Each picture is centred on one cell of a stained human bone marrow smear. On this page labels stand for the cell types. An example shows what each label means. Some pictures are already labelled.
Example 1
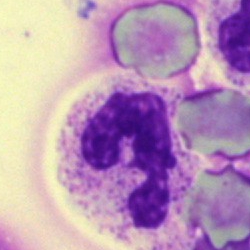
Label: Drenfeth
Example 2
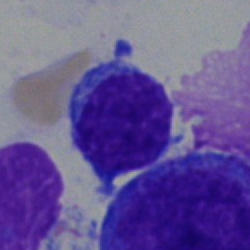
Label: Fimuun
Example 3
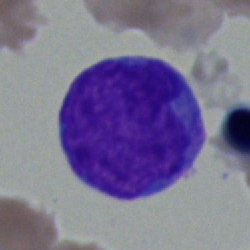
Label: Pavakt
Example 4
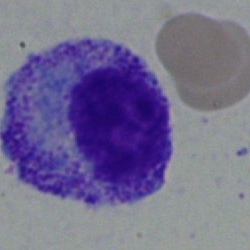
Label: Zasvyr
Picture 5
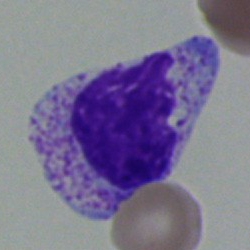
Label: Zasvyr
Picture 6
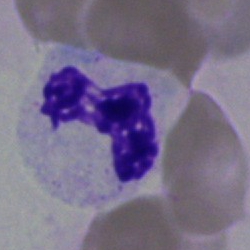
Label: Drenfeth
